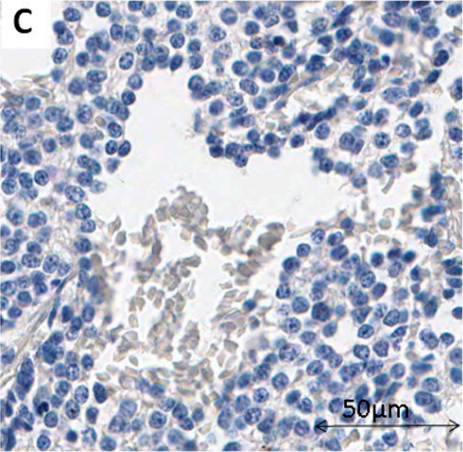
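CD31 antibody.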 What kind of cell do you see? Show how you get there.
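Erythrocytes. The central space holds many pale tan, disc-shaped cells without nuclei. These pale cells are much smaller than the surrounding nucleated cells.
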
